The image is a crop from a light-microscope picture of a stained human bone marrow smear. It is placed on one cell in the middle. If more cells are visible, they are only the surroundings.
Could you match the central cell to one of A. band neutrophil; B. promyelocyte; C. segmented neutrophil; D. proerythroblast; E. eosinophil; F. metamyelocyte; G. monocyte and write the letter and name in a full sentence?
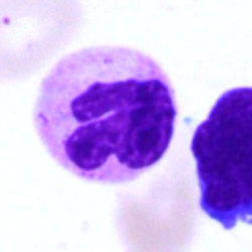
With the cell in the middle being a segmented neutrophil, option C is the correct choice.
